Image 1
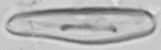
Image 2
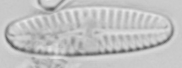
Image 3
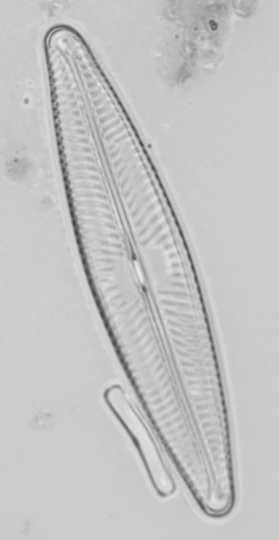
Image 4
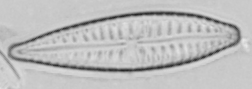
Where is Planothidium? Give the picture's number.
2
